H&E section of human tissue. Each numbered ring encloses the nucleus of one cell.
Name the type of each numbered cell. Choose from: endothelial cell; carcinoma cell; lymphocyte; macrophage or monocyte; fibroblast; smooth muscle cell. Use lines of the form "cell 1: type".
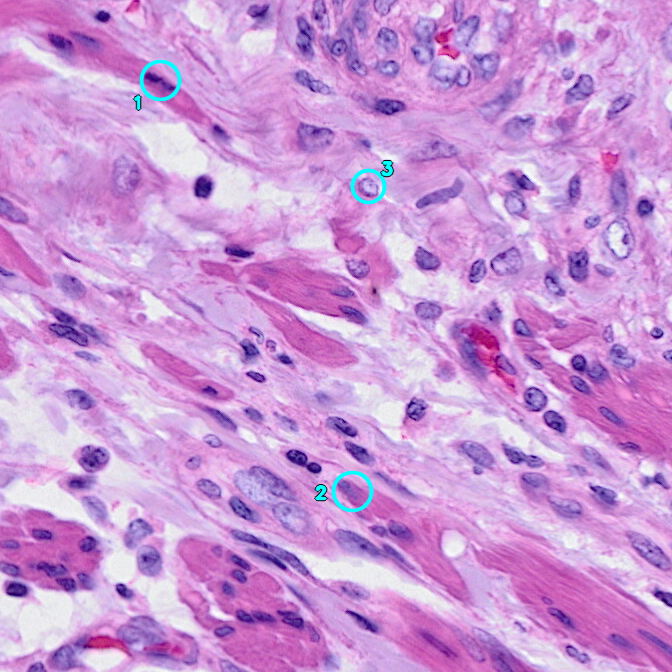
cell 1: smooth muscle cell
cell 2: smooth muscle cell
cell 3: fibroblast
